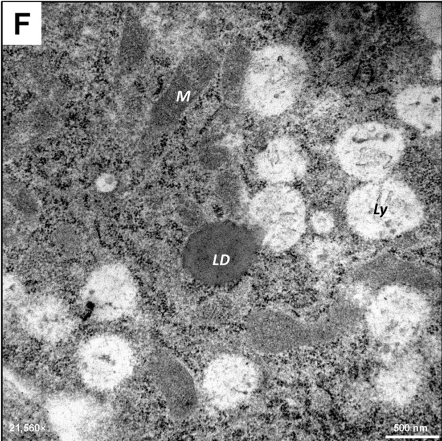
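Many round, pale vesicles of varying size, holding flocculent and membranous material, fill the right and lower parts of the field. Elongated mitochondria with a dense matrix lie in the upper left and among the vesicles. Near the centre lies a single round, homogeneous, moderately dark droplet without internal structure. The surrounding cytoplasm is finely granular.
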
